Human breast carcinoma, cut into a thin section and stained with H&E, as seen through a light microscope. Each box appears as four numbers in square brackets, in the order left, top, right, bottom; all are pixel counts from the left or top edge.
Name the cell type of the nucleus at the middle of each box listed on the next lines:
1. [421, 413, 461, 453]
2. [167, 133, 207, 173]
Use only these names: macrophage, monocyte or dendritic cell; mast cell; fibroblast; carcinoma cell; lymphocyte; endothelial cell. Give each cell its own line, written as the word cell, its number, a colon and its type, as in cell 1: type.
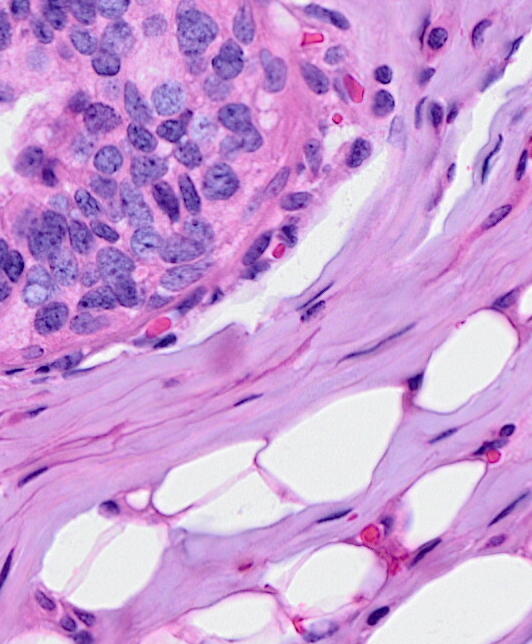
cell 1: fibroblast
cell 2: carcinoma cell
